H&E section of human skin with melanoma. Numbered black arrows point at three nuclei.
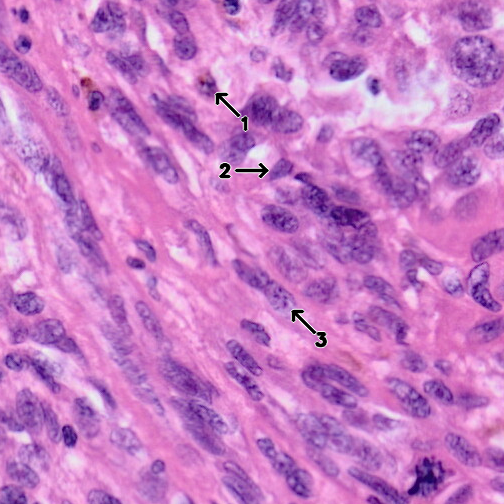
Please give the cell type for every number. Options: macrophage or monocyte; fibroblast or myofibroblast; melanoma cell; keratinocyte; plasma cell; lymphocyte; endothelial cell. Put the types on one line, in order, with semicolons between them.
macrophage or monocyte; melanoma cell; melanoma cell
